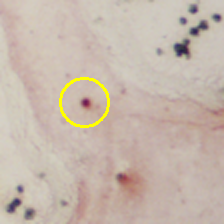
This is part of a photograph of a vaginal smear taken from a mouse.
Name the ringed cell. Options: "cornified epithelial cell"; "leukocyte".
leukocyte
